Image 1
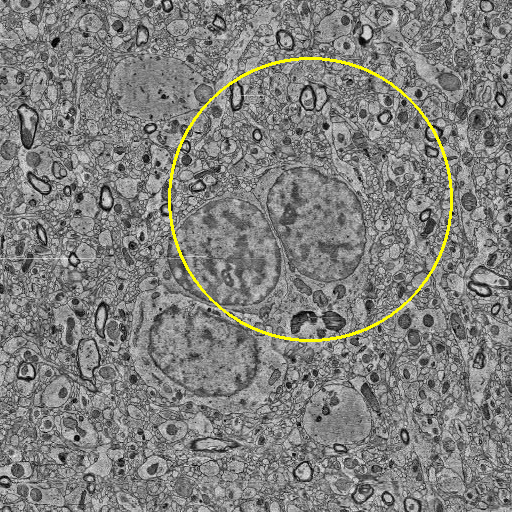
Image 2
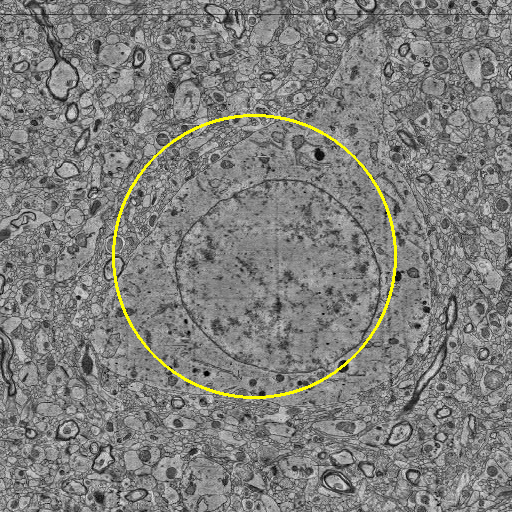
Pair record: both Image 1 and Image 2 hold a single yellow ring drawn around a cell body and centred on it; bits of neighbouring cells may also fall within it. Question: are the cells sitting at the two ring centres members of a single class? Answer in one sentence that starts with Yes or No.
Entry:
No, the ring-centre cells in Image 1 and Image 2 come from two classes.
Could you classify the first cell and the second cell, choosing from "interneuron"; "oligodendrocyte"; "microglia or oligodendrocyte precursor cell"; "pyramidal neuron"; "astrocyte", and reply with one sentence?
The second cell is a pyramidal neuron, while the first is an oligodendrocyte.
